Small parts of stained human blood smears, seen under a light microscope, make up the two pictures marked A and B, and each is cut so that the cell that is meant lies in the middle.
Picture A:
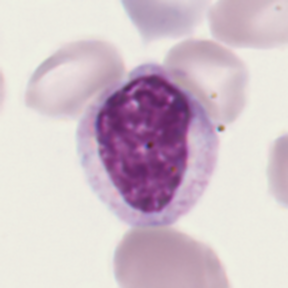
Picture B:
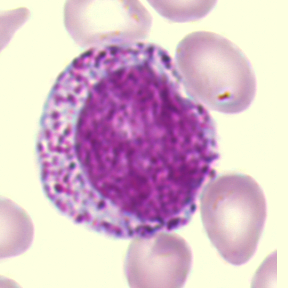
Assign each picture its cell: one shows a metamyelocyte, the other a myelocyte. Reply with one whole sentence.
It is picture A that shows a metamyelocyte, and picture B that shows a myelocyte.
